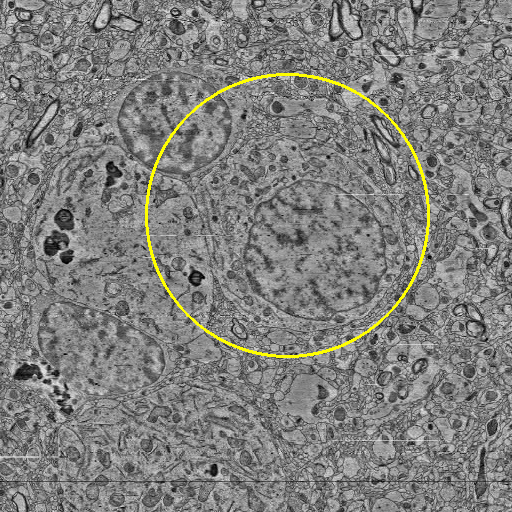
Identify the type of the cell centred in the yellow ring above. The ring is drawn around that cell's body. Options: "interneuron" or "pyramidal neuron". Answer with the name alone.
interneuron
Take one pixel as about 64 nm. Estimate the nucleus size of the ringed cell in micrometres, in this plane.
The nucleus is approximately 10 micrometers across in this plane.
